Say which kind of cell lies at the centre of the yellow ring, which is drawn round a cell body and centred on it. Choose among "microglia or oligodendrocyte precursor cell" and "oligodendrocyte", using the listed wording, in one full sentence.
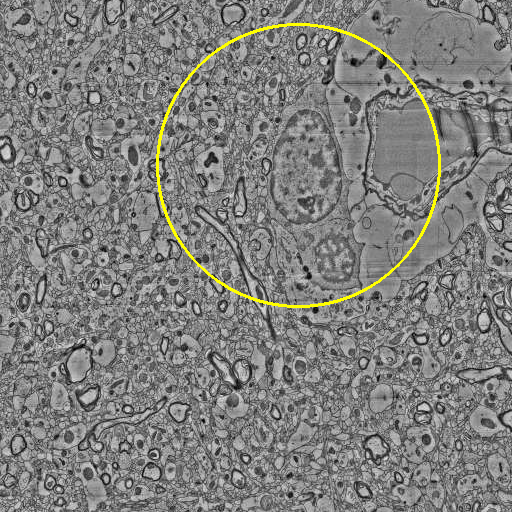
Going by the list, the cell at the yellow ring's centre is an oligodendrocyte.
